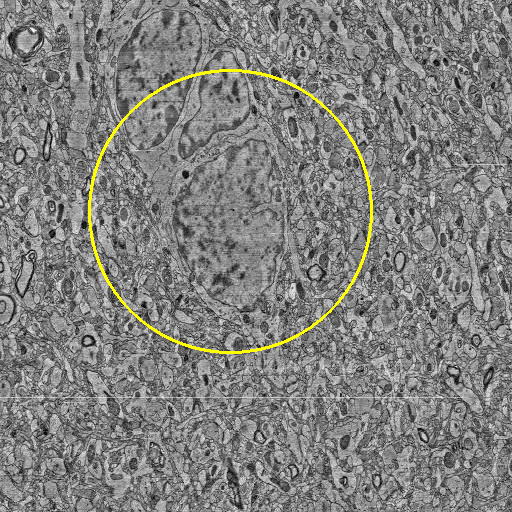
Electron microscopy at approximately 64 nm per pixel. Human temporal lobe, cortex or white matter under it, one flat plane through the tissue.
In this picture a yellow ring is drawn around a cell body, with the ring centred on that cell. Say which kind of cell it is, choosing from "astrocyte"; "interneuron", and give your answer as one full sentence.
Here it is an interneuron that sits at the centre of the drawn yellow ring.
